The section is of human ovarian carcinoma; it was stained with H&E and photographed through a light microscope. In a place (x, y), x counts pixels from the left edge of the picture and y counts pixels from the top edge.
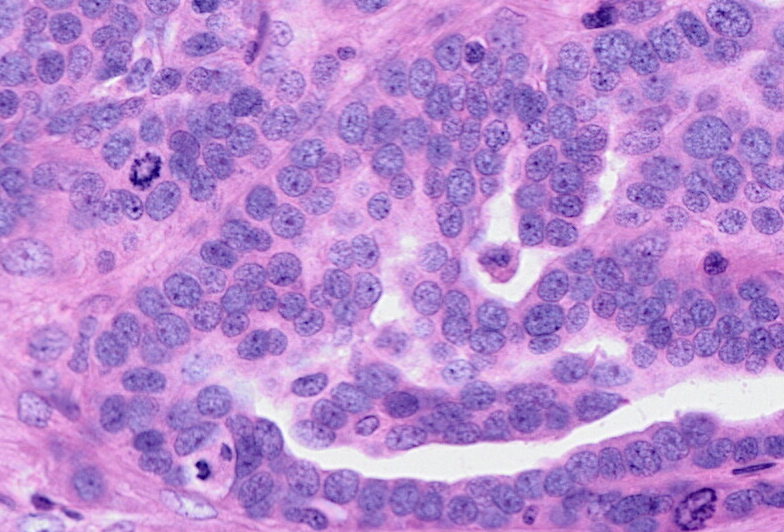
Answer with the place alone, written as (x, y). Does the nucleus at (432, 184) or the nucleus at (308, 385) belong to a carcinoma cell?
(432, 184)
